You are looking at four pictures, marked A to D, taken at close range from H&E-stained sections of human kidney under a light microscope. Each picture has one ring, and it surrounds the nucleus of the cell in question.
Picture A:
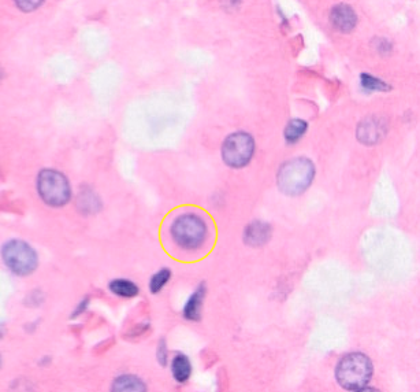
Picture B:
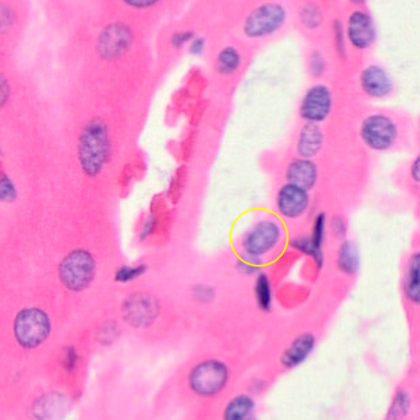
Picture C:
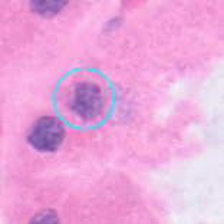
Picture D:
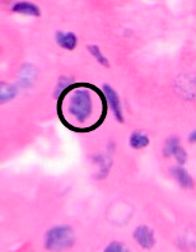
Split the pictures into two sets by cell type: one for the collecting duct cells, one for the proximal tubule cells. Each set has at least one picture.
A: proximal tubule cell
B: collecting duct cell
C: proximal tubule cell
D: collecting duct cell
